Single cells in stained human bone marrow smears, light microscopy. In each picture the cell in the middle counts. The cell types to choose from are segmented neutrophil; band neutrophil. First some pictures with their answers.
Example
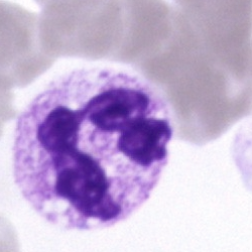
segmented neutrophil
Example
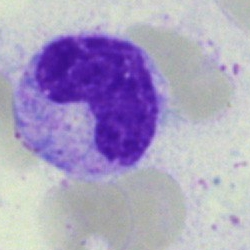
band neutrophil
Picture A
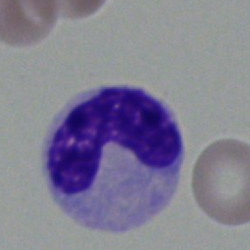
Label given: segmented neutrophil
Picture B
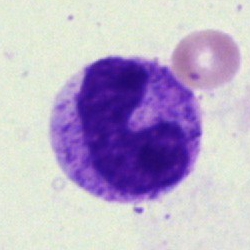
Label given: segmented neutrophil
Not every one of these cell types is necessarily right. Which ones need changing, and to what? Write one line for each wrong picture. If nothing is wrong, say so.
Wrong: A (segmented neutrophil); correct: band neutrophil
Wrong: B (segmented neutrophil); correct: band neutrophil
